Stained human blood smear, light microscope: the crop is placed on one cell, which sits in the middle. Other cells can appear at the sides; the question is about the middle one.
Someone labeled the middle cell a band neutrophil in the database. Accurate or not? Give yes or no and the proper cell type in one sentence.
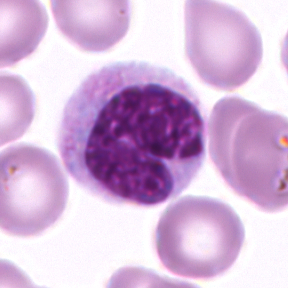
Yes, the cell in the center of the field is a band neutrophil.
